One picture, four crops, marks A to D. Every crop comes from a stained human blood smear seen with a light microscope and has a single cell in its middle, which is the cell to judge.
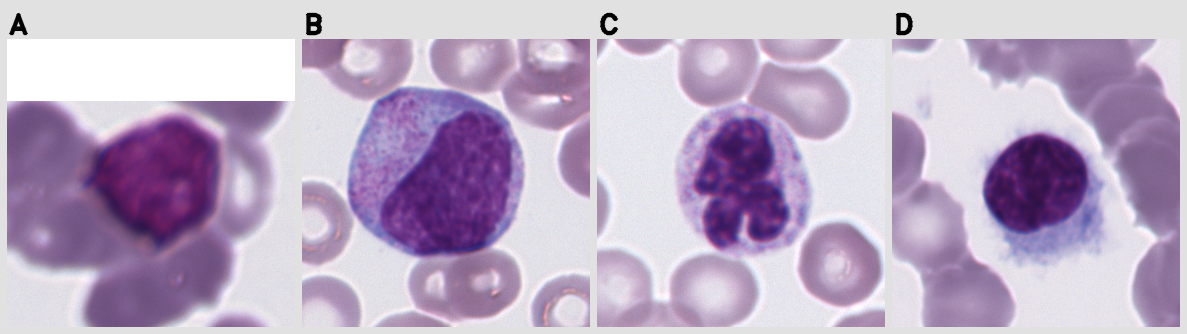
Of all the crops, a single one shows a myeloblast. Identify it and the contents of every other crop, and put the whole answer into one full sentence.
Crop A shows a myeloblast, and meanwhile crop B is an atypical promyelocyte, crop C is a segmented neutrophil and crop D is a hairy cell.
